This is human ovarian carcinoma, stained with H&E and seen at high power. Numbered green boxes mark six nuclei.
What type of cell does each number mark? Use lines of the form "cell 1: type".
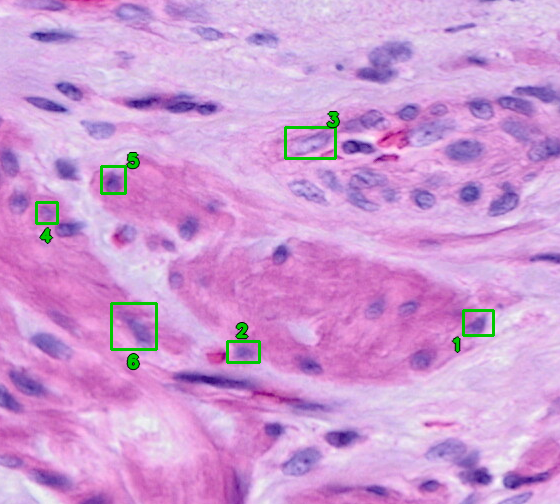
cell 1: smooth muscle cell
cell 2: endothelial cell
cell 3: endothelial cell
cell 4: smooth muscle cell
cell 5: smooth muscle cell
cell 6: smooth muscle cell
